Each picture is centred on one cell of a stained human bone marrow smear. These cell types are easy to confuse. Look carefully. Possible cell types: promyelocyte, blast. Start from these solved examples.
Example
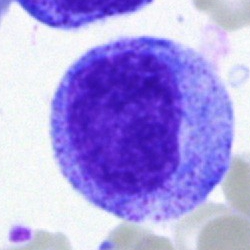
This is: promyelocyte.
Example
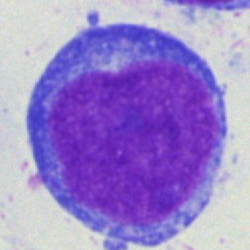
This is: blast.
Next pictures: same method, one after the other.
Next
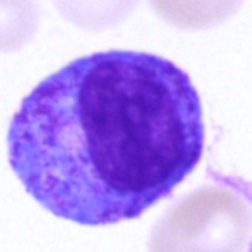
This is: promyelocyte.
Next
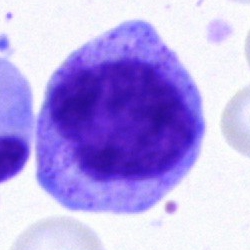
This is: promyelocyte.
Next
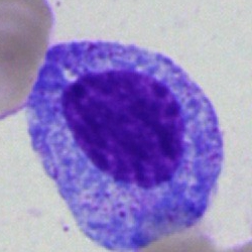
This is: promyelocyte.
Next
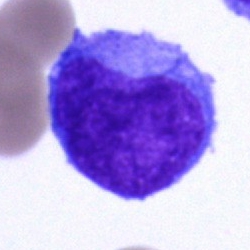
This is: blast.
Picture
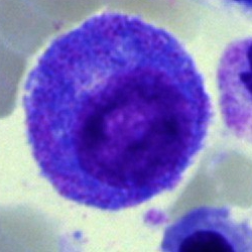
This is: promyelocyte.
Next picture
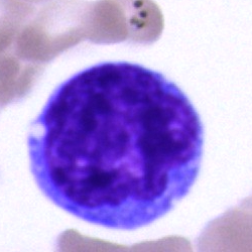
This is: blast.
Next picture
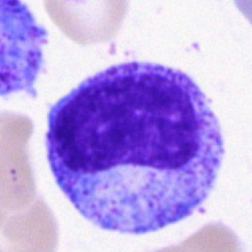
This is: promyelocyte.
